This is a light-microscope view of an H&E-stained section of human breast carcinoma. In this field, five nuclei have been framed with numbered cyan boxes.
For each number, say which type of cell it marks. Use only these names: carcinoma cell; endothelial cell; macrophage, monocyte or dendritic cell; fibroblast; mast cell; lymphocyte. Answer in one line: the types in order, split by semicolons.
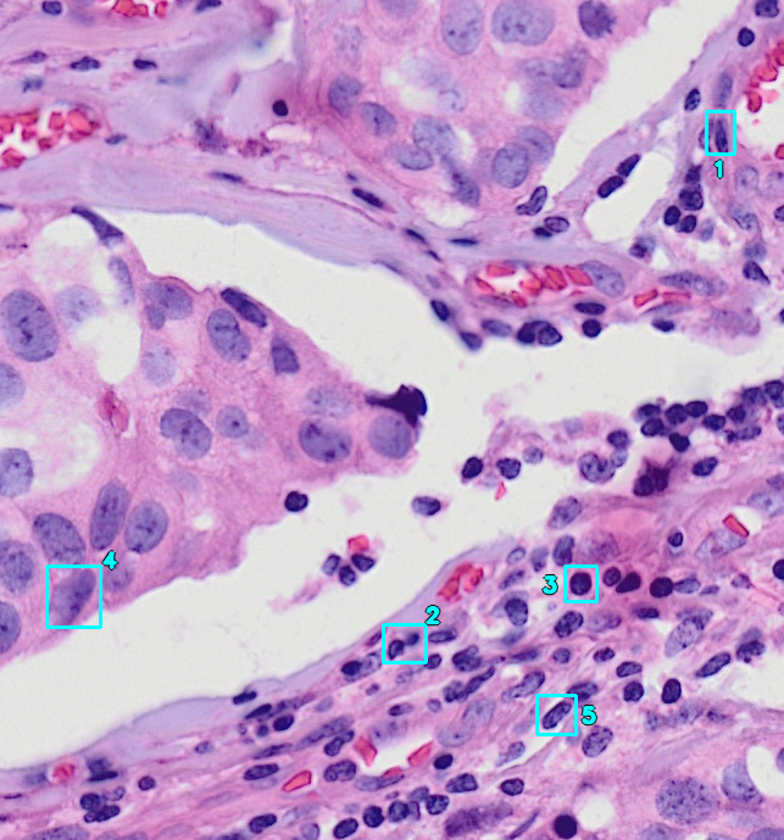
endothelial cell; lymphocyte; lymphocyte; carcinoma cell; lymphocyte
